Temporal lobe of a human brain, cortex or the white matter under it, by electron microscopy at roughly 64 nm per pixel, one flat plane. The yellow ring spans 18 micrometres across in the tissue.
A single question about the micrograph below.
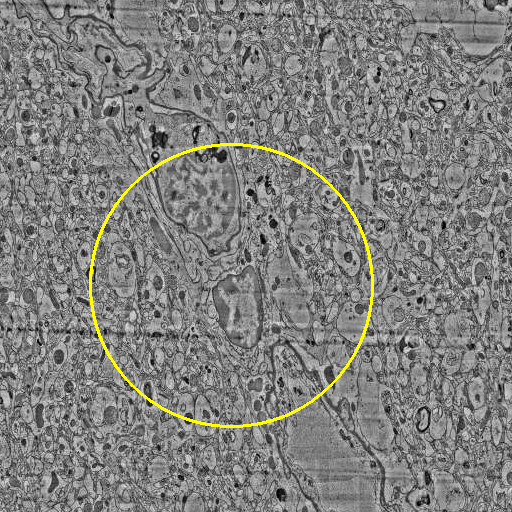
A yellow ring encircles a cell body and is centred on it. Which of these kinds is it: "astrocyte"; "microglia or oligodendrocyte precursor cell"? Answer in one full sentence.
The cell body at the centre of the yellow ring belongs to a microglial cell or oligodendrocyte precursor cell.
